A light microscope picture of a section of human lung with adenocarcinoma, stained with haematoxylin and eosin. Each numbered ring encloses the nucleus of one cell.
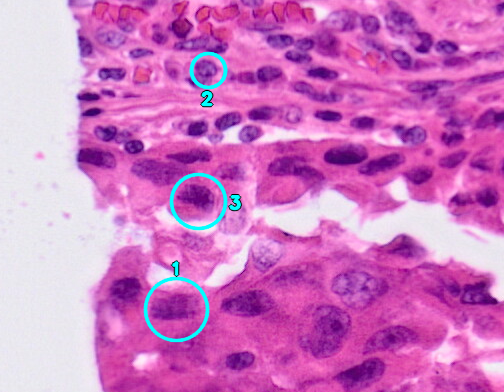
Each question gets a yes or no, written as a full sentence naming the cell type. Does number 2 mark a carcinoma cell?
No, cell 2 is a lymphocyte and should not be called a carcinoma cell.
